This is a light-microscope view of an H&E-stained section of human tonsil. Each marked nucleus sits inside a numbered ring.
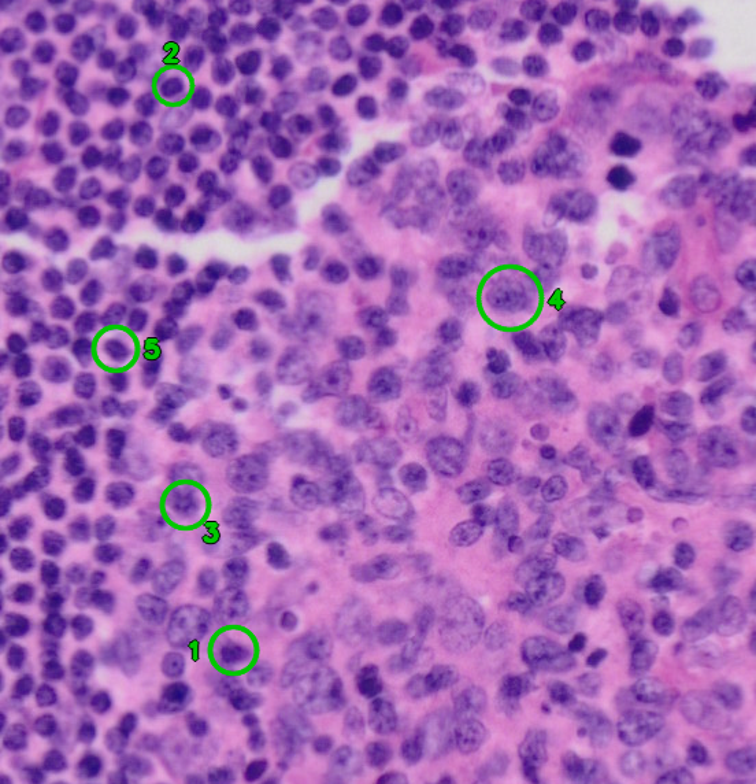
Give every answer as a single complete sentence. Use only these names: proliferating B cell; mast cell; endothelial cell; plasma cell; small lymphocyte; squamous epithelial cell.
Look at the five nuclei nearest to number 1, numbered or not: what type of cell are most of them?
Proliferating B cells account for more than half of the five nuclei nearest to number 1.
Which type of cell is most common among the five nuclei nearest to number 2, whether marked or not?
Small lymphocytes account for more than half of the five nuclei nearest to number 2.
